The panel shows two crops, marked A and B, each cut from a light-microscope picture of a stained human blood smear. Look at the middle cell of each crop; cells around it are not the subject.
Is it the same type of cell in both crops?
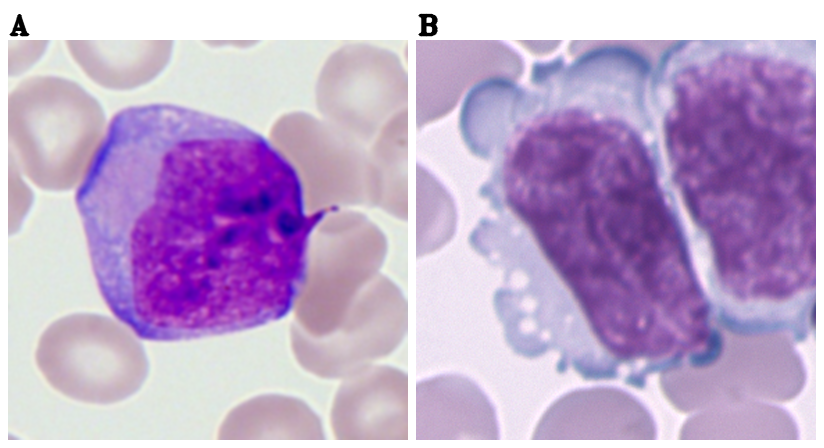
yes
